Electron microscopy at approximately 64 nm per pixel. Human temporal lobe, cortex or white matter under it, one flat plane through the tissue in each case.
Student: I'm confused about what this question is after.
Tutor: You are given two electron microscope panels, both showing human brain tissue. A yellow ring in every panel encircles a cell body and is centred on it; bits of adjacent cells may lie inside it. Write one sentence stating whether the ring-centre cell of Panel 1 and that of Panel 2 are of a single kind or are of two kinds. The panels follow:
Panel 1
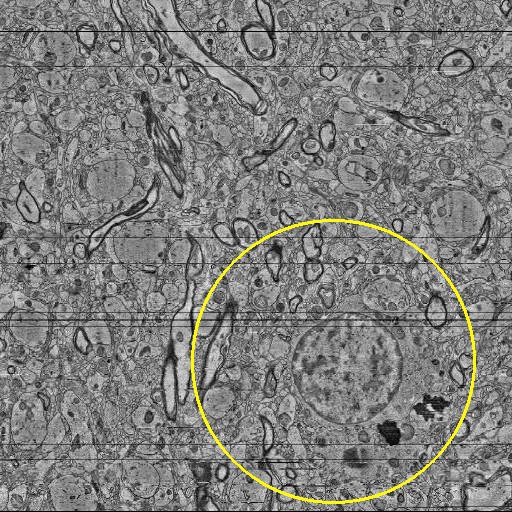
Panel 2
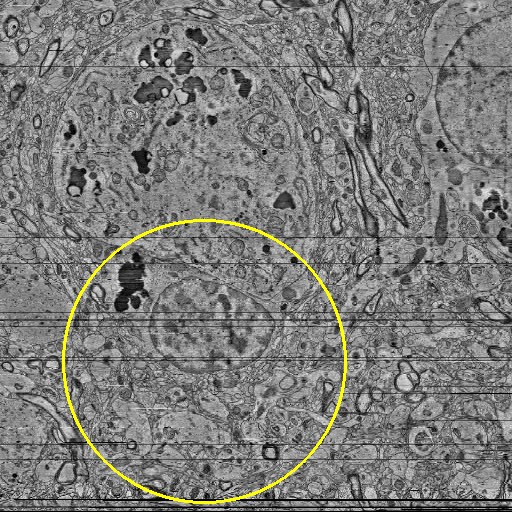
Here, the Panel 1 ring-centre cell and the Panel 2 ring-centre cell are of a single kind.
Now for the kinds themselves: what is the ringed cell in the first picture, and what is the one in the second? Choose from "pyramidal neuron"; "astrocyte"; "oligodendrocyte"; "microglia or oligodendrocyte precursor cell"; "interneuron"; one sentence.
Each one of the two ringed cells is an oligodendrocyte.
